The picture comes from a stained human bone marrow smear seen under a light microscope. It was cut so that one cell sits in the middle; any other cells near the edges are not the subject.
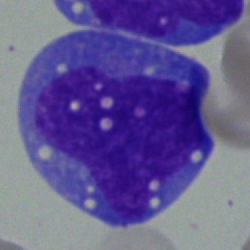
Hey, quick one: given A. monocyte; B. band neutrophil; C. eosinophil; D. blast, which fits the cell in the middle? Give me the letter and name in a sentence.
Option A is the right choice, the central cell being a monocyte.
